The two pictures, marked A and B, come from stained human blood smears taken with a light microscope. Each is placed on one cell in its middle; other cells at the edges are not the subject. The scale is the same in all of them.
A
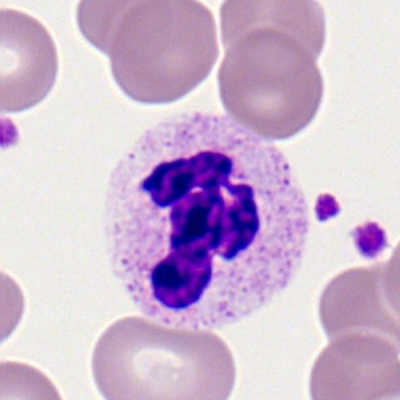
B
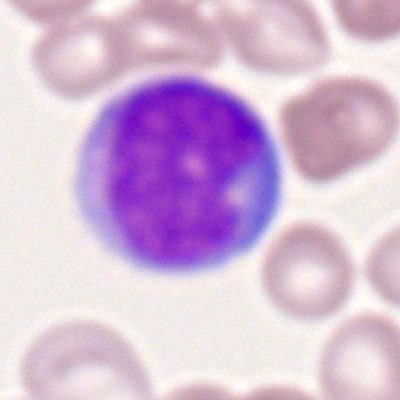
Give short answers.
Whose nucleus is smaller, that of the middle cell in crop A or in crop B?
A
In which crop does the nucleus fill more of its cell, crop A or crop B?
B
